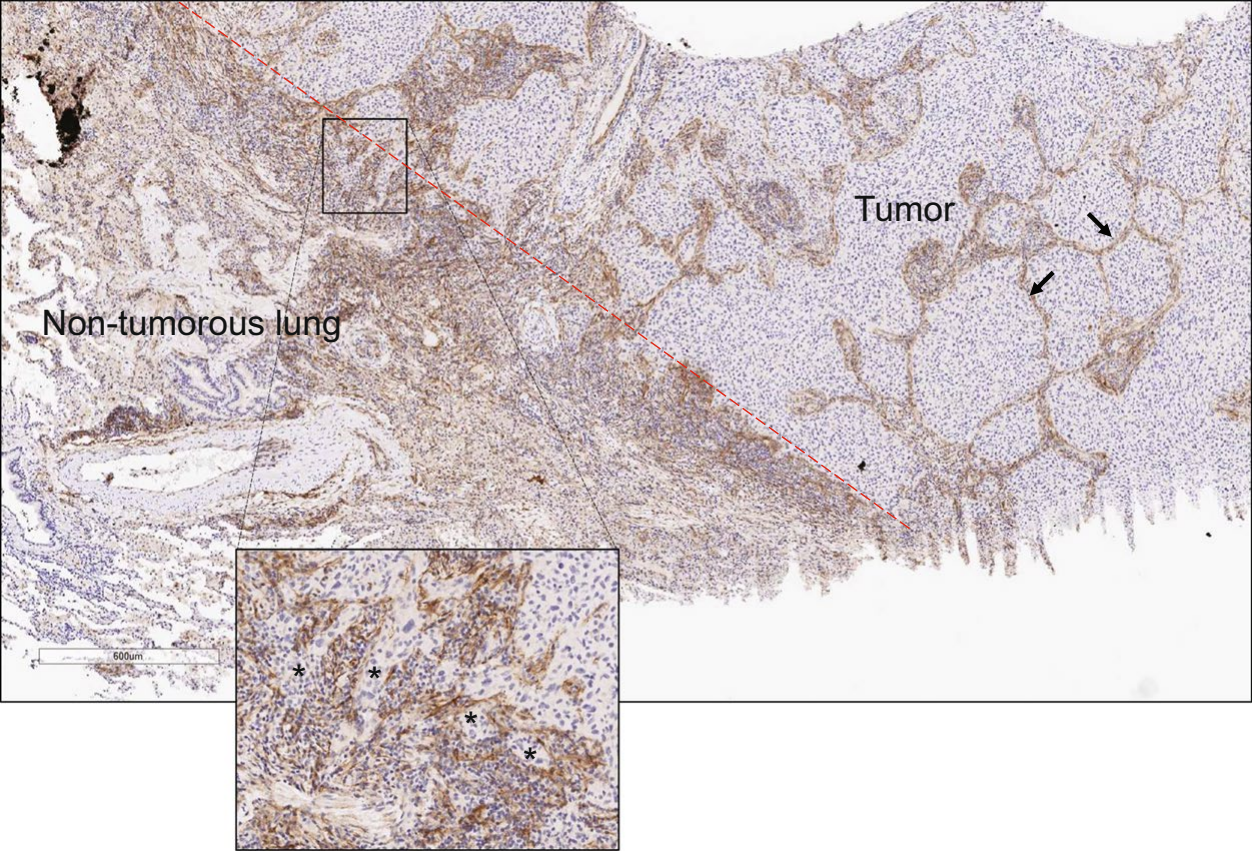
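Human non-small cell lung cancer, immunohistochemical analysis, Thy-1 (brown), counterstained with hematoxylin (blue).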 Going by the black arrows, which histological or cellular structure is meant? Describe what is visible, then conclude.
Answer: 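Interstitial stromal bands. The arrows point at thin brown-stained bands running between large pale nests of cells. The bands form a network that partitions the pale cell masses into rounded lobules.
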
